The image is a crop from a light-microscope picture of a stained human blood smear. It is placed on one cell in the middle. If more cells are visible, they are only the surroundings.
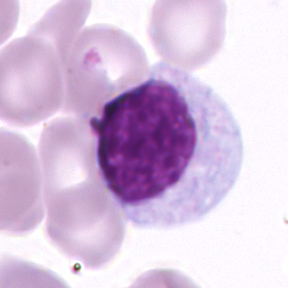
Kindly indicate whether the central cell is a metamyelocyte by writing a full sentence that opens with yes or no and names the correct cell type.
Yes, the cell in the middle is a metamyelocyte.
